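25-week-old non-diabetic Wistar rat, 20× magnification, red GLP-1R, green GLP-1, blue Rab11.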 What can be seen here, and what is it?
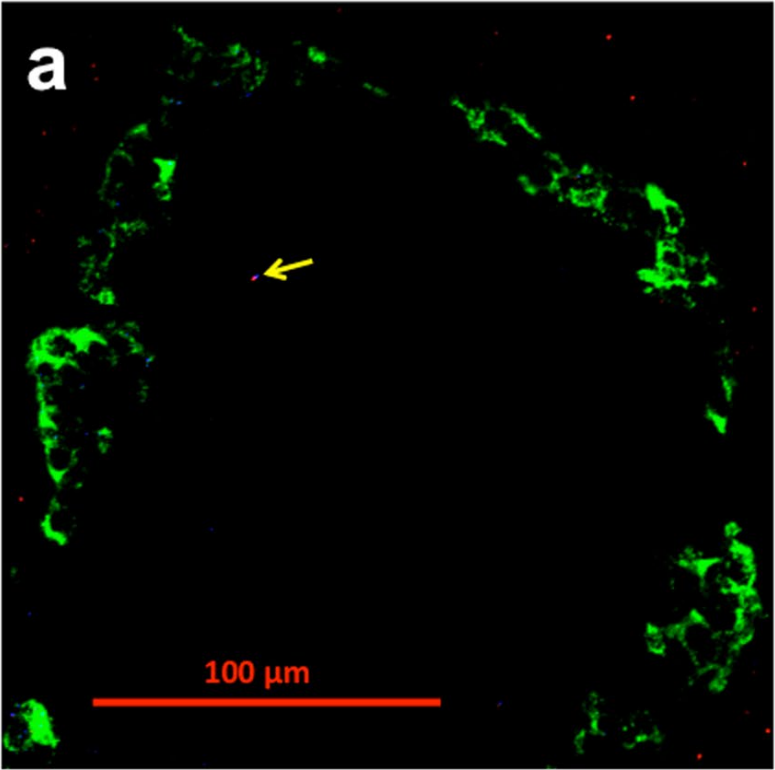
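This is a rounded pancreatic islet seen by fluorescence. The green label fills the cytoplasm of these peripheral cells and gives them ragged, branching outlines. The broad core of the islet stays almost completely dark, with no green label and hardly any red or blue. A yellow arrow in the core points to a single tiny reddish-purple dot. A few isolated small red or blue specks are scattered over the dark background.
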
